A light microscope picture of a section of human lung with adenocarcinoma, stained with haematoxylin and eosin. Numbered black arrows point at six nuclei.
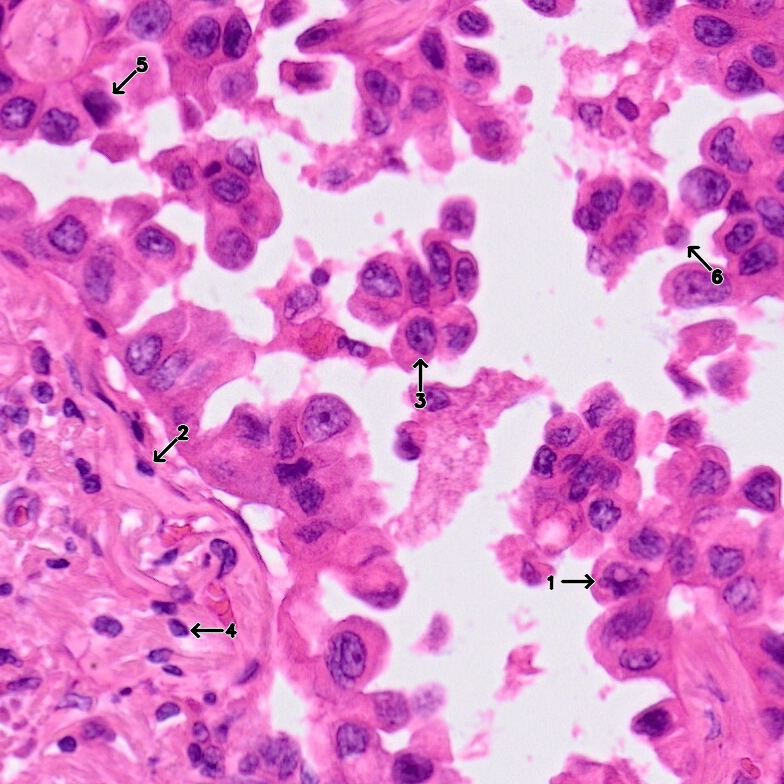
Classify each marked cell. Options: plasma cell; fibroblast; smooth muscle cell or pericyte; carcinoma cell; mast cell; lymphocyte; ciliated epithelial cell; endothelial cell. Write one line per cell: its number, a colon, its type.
1: carcinoma cell
2: lymphocyte
3: carcinoma cell
4: lymphocyte
5: carcinoma cell
6: carcinoma cell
